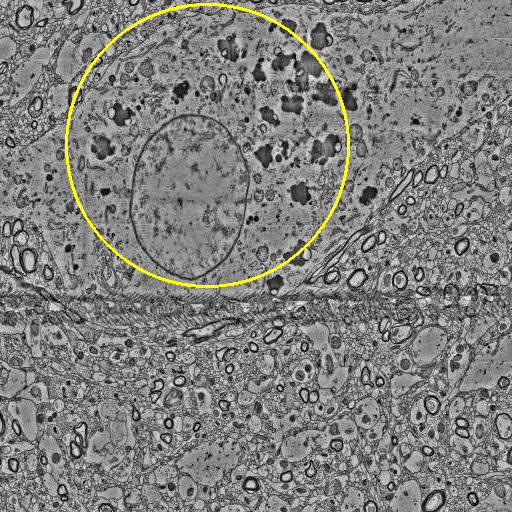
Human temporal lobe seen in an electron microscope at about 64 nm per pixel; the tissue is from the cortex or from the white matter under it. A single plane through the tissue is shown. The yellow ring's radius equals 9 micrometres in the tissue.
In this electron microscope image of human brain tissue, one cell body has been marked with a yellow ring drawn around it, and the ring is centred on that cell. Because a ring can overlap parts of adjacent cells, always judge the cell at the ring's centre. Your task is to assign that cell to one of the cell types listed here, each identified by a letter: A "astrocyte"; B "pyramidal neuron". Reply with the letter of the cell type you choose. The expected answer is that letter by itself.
B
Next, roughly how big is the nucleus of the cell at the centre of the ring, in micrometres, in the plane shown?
Approximately 11 micrometres long and 8 micrometres wide, in this plane.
